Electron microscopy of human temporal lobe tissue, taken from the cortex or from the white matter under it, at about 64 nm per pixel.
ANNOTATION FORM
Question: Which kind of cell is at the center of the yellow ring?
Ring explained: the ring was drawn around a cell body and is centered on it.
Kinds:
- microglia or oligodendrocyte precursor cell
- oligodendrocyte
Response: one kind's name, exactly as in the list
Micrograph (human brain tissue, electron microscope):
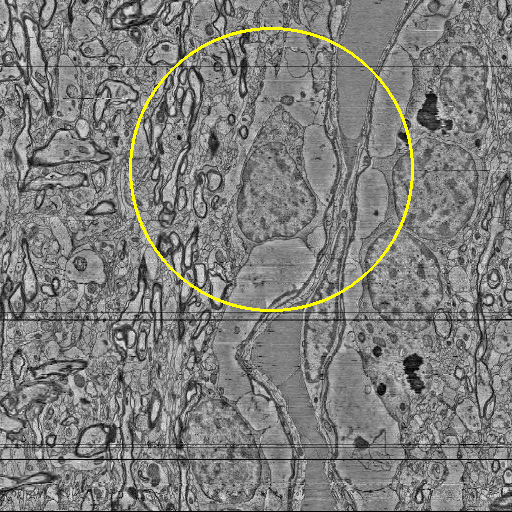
oligodendrocyte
